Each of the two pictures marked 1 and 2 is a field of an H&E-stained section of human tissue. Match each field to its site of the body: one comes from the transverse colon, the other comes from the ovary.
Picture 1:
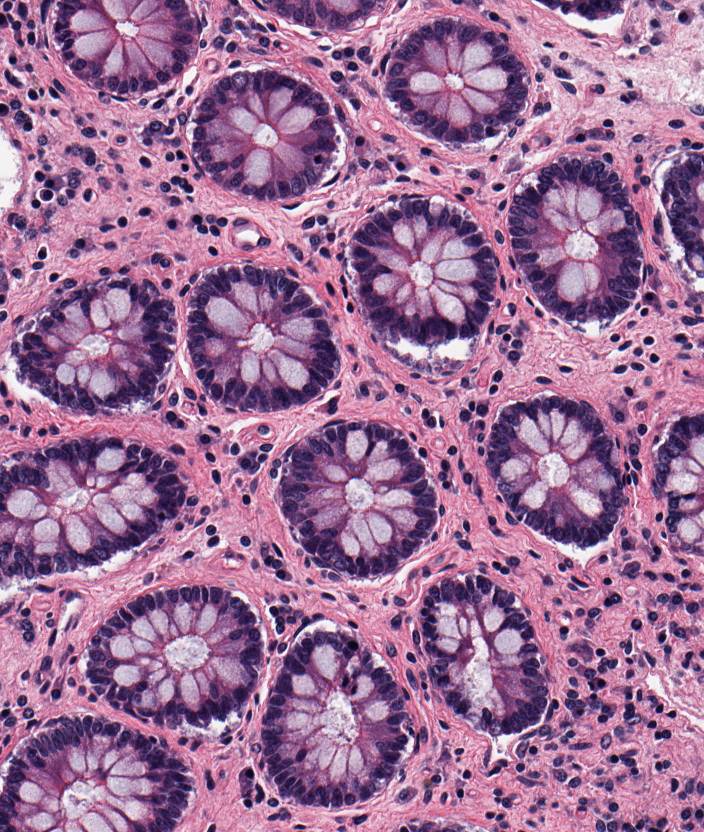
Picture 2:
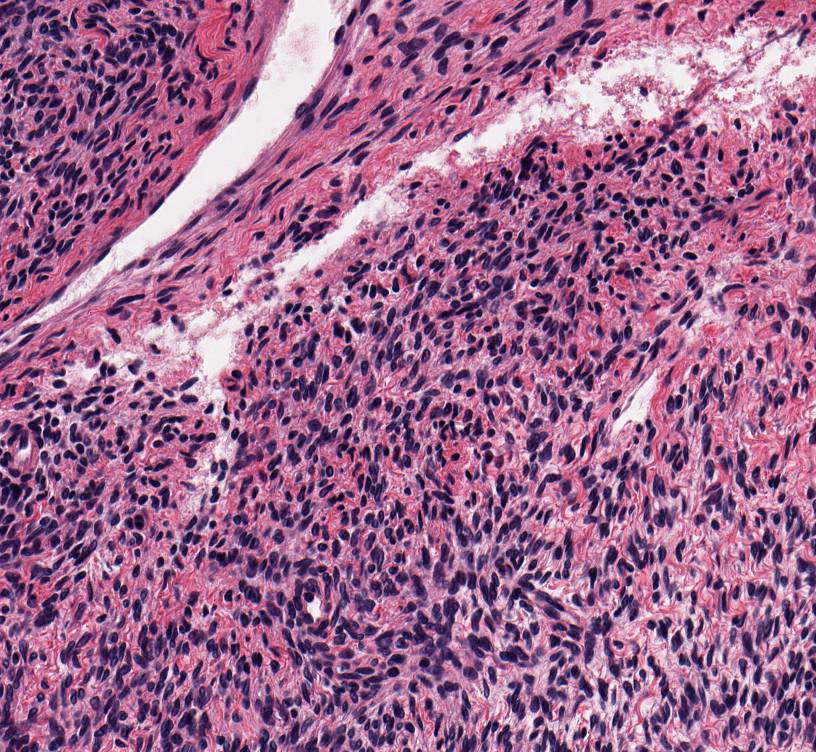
1: transverse colon
2: ovary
